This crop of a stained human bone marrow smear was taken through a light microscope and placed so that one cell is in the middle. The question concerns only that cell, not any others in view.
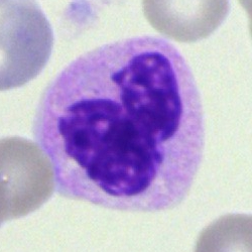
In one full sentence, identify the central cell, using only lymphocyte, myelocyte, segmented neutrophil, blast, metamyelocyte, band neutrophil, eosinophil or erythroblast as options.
The cell in the middle of this crop is a segmented neutrophil.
